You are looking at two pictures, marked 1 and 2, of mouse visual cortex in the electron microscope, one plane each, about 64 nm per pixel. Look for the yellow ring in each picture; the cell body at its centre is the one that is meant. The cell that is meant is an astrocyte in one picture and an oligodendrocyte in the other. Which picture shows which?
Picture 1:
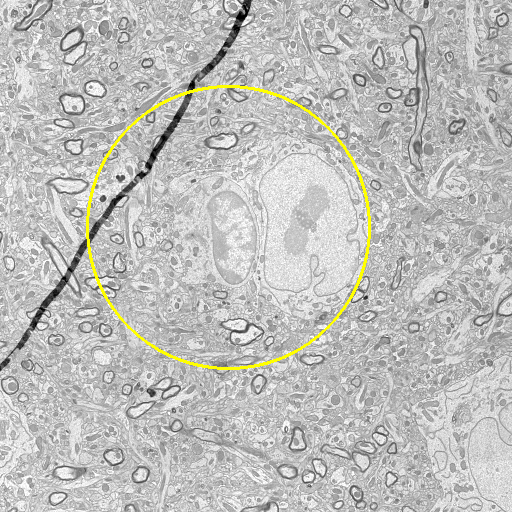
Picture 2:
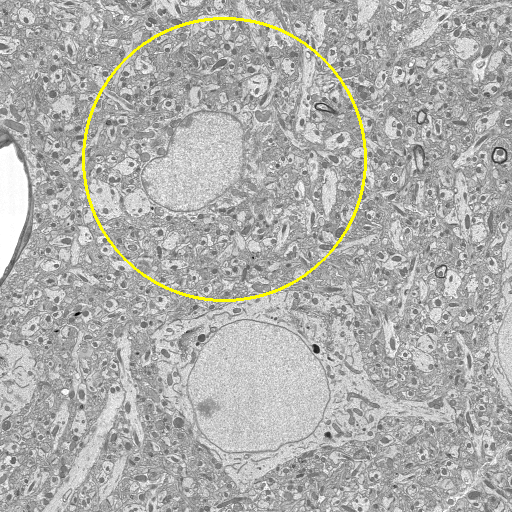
In picture 1 the cell is an oligodendrocyte; in picture 2, an astrocyte.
